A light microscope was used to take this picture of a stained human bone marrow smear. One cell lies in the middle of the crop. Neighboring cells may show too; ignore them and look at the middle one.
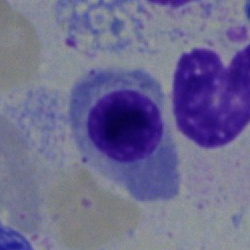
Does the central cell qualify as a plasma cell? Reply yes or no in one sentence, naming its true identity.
No, sorry, the middle cell is an erythroblast rather than a plasma cell.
